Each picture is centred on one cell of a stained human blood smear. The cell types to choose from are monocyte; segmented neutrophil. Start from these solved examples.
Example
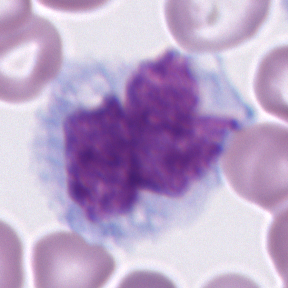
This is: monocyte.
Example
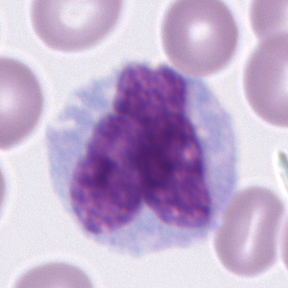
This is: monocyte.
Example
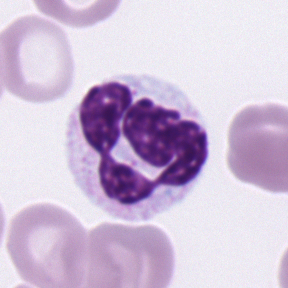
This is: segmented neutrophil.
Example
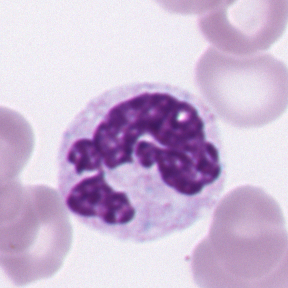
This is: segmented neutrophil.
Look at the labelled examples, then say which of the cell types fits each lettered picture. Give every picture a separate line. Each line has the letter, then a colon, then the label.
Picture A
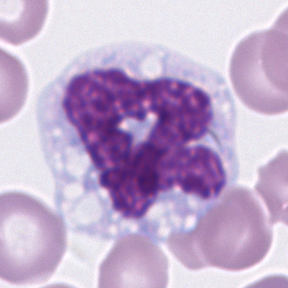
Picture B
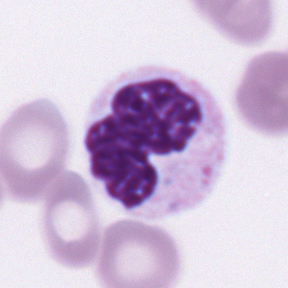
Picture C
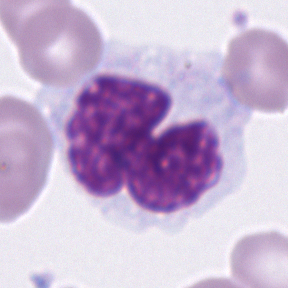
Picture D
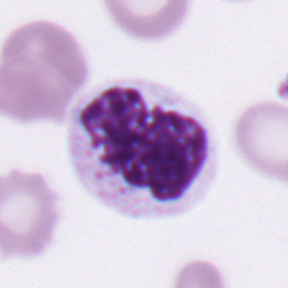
A: monocyte.
B: segmented neutrophil.
C: monocyte.
D: segmented neutrophil.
